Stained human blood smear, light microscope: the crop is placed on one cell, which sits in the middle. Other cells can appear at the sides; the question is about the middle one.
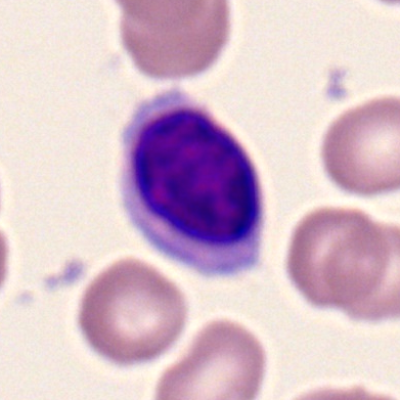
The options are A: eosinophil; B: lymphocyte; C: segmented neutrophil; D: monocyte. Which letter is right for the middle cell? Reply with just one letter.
B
